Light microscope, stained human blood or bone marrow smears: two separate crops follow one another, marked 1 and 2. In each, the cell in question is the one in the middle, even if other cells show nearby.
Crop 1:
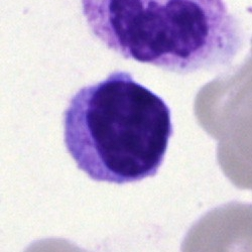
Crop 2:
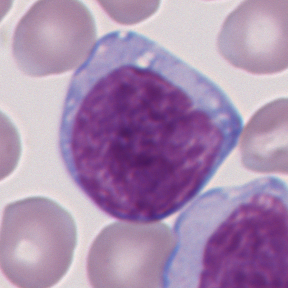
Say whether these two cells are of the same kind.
no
